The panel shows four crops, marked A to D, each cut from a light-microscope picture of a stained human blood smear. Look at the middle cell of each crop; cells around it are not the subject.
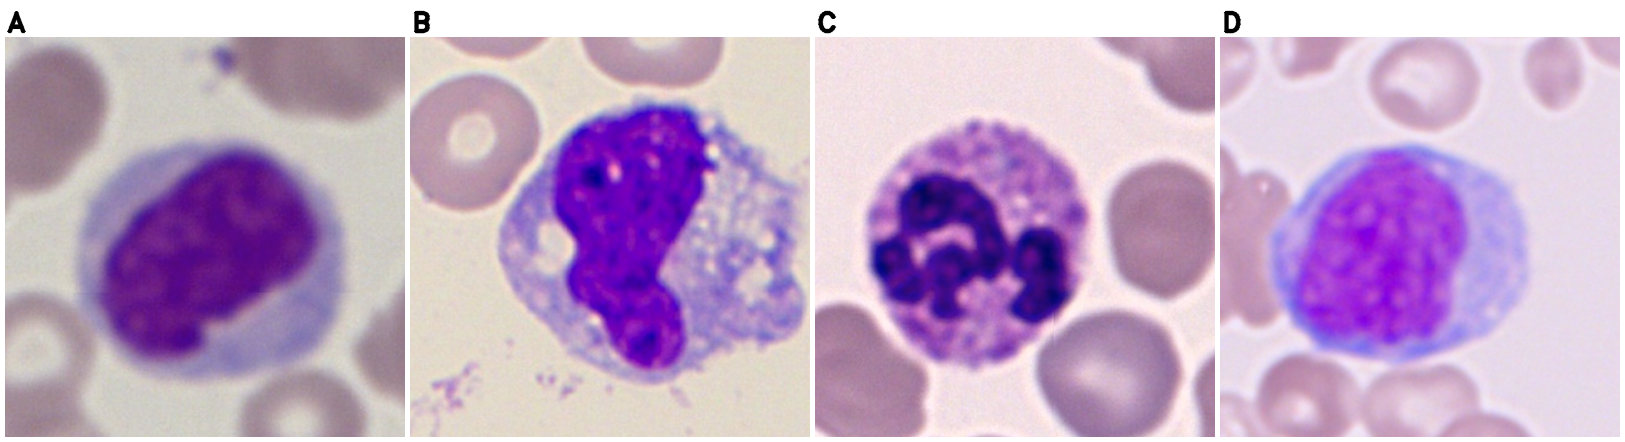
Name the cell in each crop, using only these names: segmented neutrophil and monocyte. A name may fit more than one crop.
A: monocyte
B: monocyte
C: segmented neutrophil
D: monocyte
